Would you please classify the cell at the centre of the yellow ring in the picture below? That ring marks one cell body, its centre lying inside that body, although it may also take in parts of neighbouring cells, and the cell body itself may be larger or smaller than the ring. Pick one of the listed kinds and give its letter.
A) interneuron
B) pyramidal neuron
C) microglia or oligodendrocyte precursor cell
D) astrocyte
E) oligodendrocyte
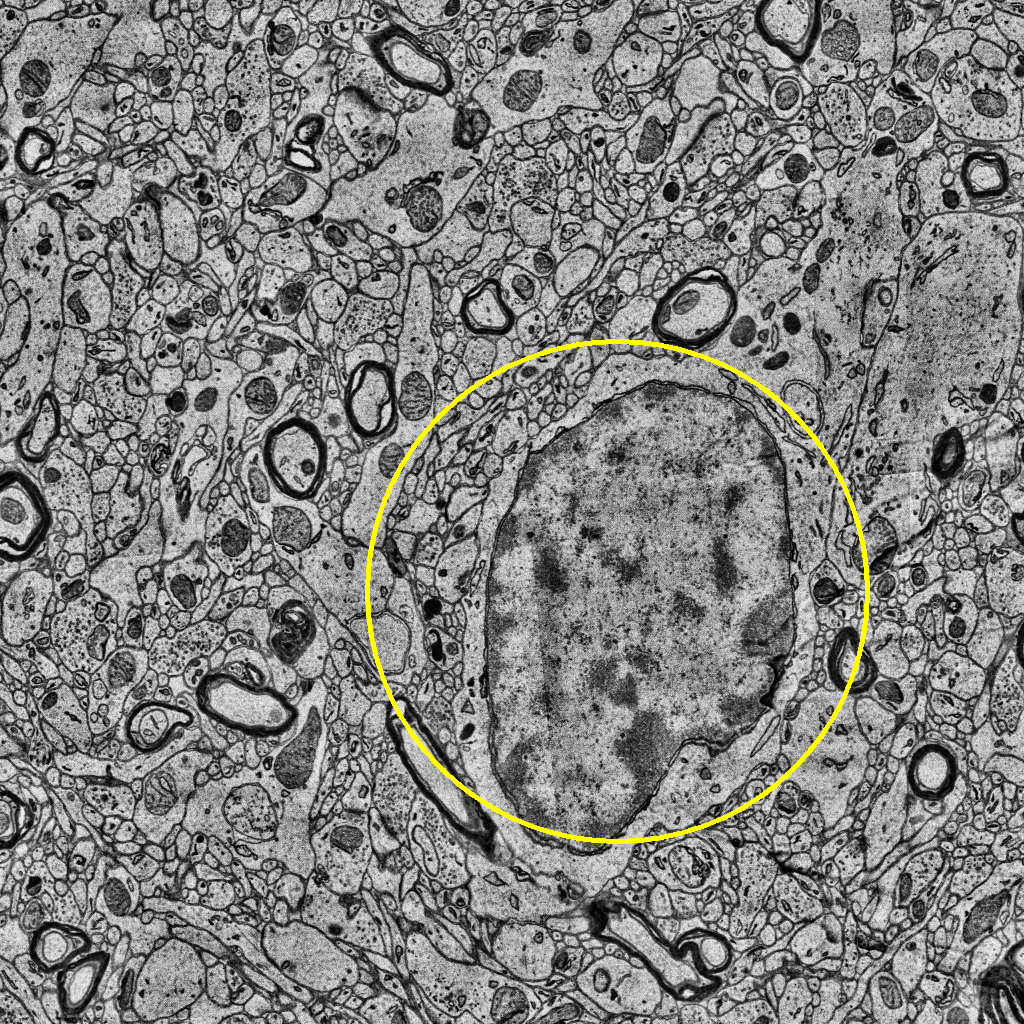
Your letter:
C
